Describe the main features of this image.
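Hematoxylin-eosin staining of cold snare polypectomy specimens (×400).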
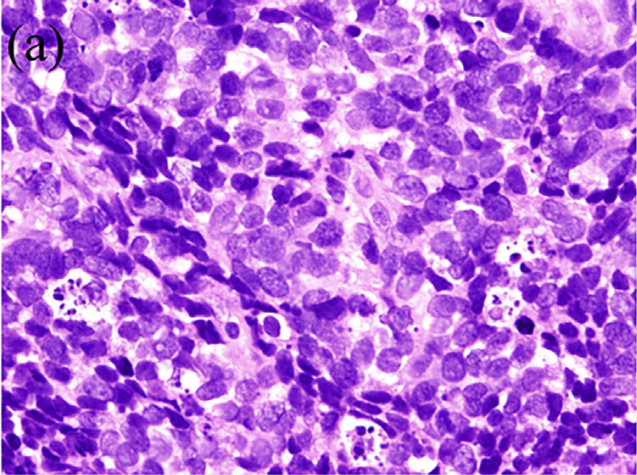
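Here we are looking at tumor cells packed closely in sheets with almost no stroma between them. Their nuclei are round to oval, fairly large and crowded, with finely stippled chromatin and small nucleoli, while the cytoplasm is scant and pale pink, so the cell borders are hard to make out. Scattered among them are darker, elongated or squeezed nuclei that look crushed. Here and there small clear spaces hold fragments of dark nuclear debris, the remains of dying cells. There is no gland formation in this field; the cells simply fill it in a solid pattern.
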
